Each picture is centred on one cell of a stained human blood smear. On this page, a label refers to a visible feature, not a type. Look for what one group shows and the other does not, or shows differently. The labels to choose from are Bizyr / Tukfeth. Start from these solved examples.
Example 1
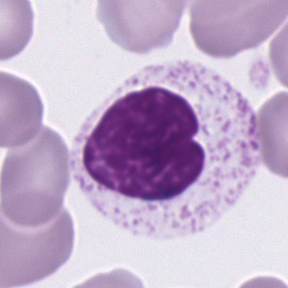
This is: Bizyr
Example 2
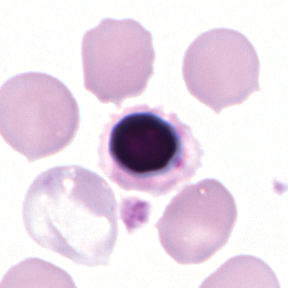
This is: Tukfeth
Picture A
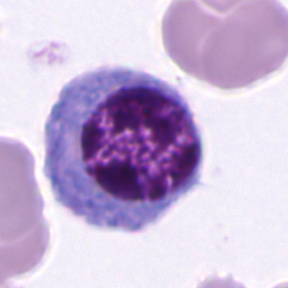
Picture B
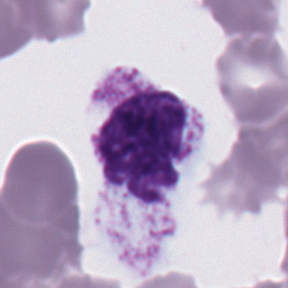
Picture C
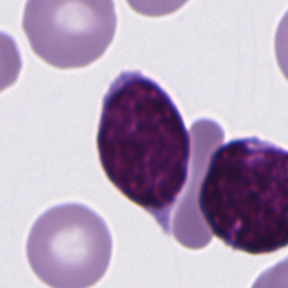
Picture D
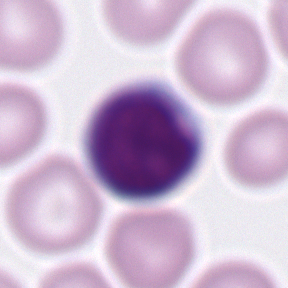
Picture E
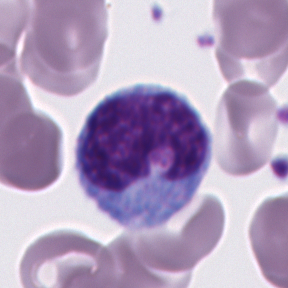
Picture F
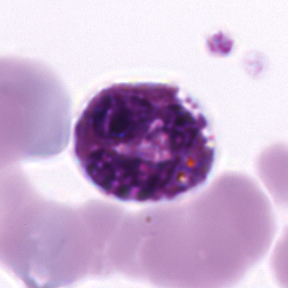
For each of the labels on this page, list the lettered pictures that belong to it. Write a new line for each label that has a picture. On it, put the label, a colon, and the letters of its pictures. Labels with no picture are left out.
Bizyr: A, D, E
Tukfeth: B, C, F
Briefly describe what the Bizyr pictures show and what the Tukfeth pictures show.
In Bizyr: smooth outline. In Tukfeth: ragged outline or projections.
